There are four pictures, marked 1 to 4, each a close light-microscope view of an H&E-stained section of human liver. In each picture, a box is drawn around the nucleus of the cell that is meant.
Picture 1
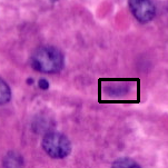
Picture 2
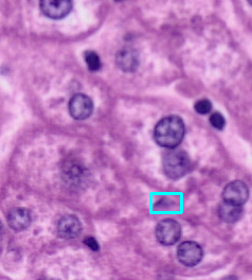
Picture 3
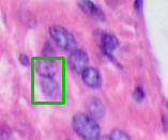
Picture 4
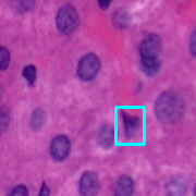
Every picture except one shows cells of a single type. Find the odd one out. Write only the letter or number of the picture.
3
